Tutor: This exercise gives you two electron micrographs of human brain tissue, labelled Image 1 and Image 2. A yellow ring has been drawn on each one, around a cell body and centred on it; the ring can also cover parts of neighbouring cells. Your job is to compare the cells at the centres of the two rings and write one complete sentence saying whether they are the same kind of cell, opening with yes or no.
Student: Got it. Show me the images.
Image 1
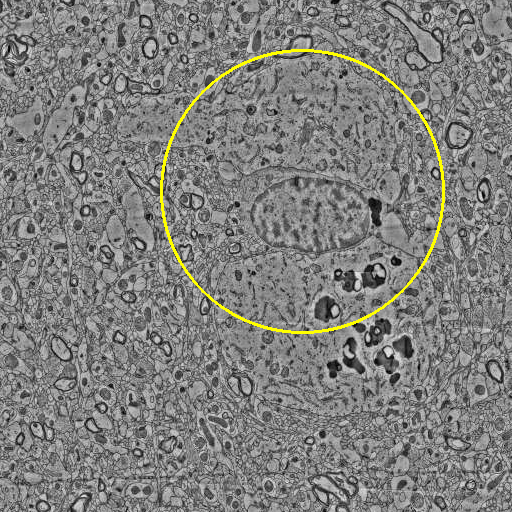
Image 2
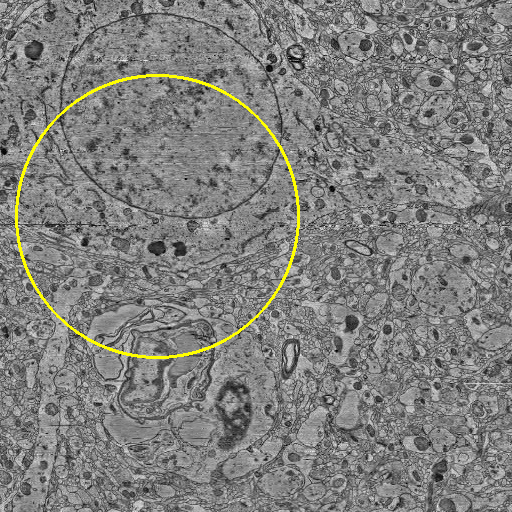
No, the two cells belong to two kinds.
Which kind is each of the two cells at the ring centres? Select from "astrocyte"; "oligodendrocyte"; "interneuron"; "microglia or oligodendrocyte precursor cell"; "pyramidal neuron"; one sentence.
The cell at the centre of the ring is an oligodendrocyte in the first picture and a pyramidal neuron in the second.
